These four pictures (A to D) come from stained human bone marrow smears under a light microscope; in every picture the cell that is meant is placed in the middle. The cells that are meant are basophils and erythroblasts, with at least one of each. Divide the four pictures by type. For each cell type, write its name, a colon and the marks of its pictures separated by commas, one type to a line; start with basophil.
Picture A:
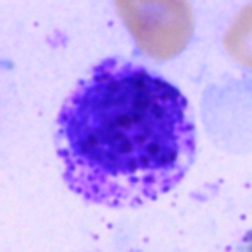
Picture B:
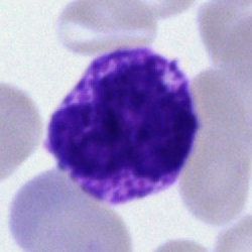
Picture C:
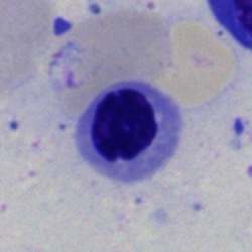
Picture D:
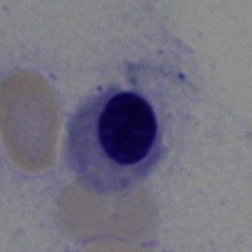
basophil: A, B
erythroblast: C, D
